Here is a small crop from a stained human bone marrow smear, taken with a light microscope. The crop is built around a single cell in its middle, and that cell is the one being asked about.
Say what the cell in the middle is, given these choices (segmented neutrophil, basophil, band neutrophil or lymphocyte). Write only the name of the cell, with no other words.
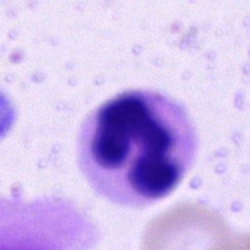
segmented neutrophil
